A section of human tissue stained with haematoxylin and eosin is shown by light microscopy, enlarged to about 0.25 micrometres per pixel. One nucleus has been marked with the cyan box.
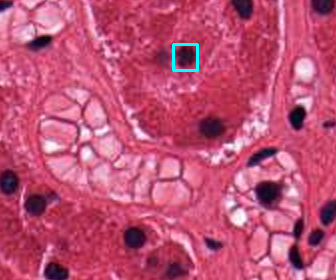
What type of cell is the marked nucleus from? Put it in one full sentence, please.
The mark identifies the nucleus of a proximal tubule cell.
